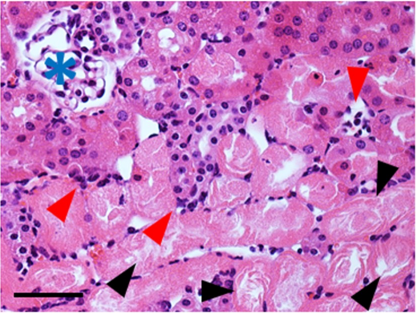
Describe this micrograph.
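A section of kidney showing a glomerulus at the upper left and surrounding renal tubules, many of them abnormal. Numerous tubules are swollen and filled with pale pink, glassy, streaky material that holds few nuclei, forming casts within the lumens. The lining epithelium of these tubules is thin or hard to make out. Between the tubules, small dark round nuclei are crowded in the interstitium, more densely than in normal kidney. Some tubules at the top still show cuboidal cells with pink cytoplasm and round nuclei. The glomerulus is a small rounded tuft of capillary loops within its capsule.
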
